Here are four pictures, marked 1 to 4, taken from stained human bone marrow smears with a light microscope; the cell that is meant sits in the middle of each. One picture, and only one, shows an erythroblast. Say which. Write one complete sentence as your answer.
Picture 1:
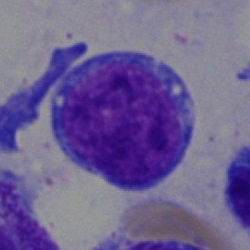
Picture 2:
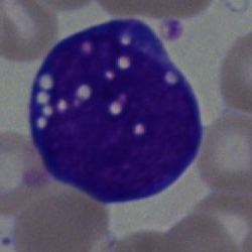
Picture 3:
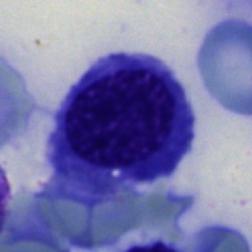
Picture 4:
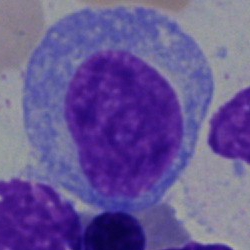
It is picture 3 that shows the erythroblast.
